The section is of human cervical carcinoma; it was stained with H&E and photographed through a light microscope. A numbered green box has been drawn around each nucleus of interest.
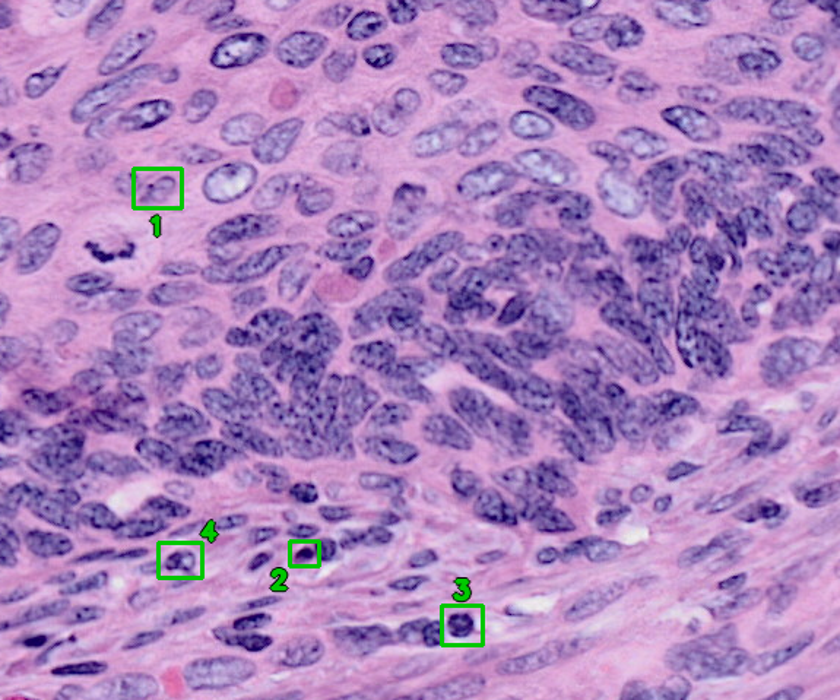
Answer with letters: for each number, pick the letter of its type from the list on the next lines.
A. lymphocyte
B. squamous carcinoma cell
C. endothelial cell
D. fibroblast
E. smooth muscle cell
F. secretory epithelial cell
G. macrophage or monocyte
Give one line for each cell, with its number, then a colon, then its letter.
1: B
2: A
3: A
4: A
